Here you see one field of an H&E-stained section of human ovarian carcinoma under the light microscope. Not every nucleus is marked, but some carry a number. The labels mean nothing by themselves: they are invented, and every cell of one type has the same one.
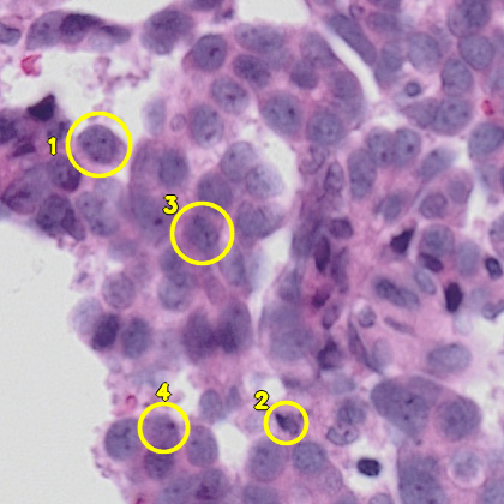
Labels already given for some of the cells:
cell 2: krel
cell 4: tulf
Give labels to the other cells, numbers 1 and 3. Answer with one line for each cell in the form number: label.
1: tulf
3: tulf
